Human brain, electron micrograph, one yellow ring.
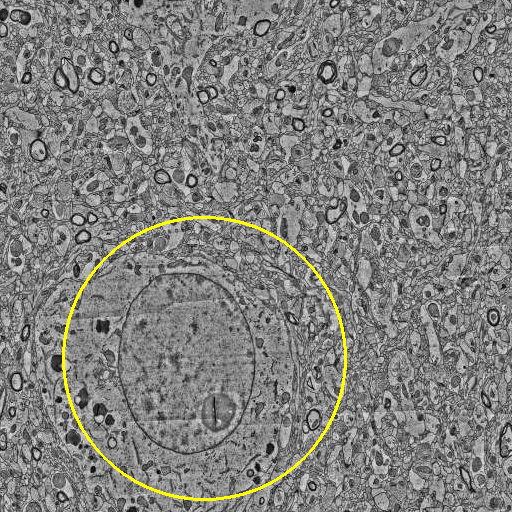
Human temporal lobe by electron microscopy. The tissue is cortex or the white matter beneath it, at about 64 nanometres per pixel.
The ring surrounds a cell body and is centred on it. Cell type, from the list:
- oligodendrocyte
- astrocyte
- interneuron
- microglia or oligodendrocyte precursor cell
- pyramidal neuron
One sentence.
The yellow ring circles a pyramidal neuron.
